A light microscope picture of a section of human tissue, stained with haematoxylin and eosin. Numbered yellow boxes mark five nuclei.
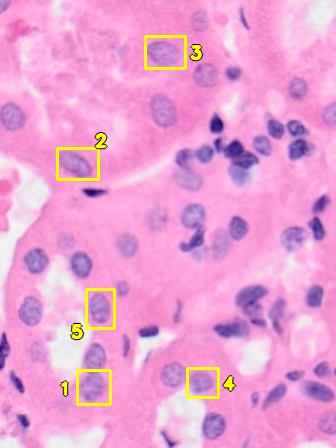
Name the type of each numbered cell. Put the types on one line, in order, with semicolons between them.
loop of Henle or distal tubule cell; proximal tubule cell; proximal tubule cell; loop of Henle or distal tubule cell; loop of Henle or distal tubule cell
